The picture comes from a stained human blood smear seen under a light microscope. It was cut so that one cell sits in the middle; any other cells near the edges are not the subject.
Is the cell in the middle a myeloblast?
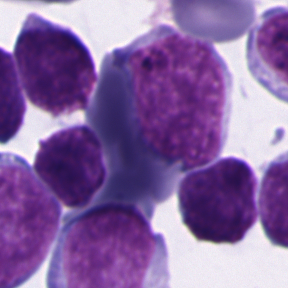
yes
